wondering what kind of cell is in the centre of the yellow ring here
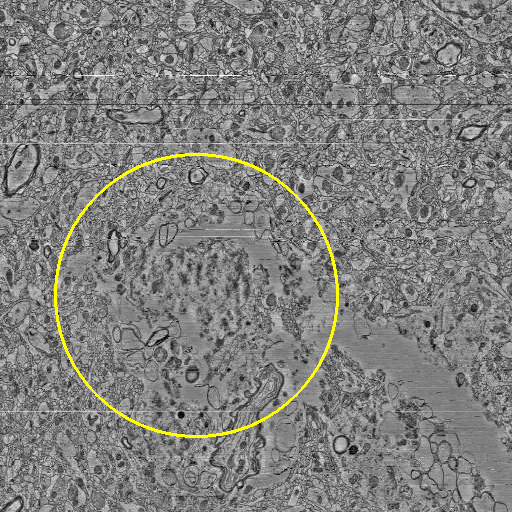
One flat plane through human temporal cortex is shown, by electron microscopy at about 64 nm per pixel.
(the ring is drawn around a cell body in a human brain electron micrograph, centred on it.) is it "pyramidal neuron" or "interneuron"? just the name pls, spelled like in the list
interneuron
